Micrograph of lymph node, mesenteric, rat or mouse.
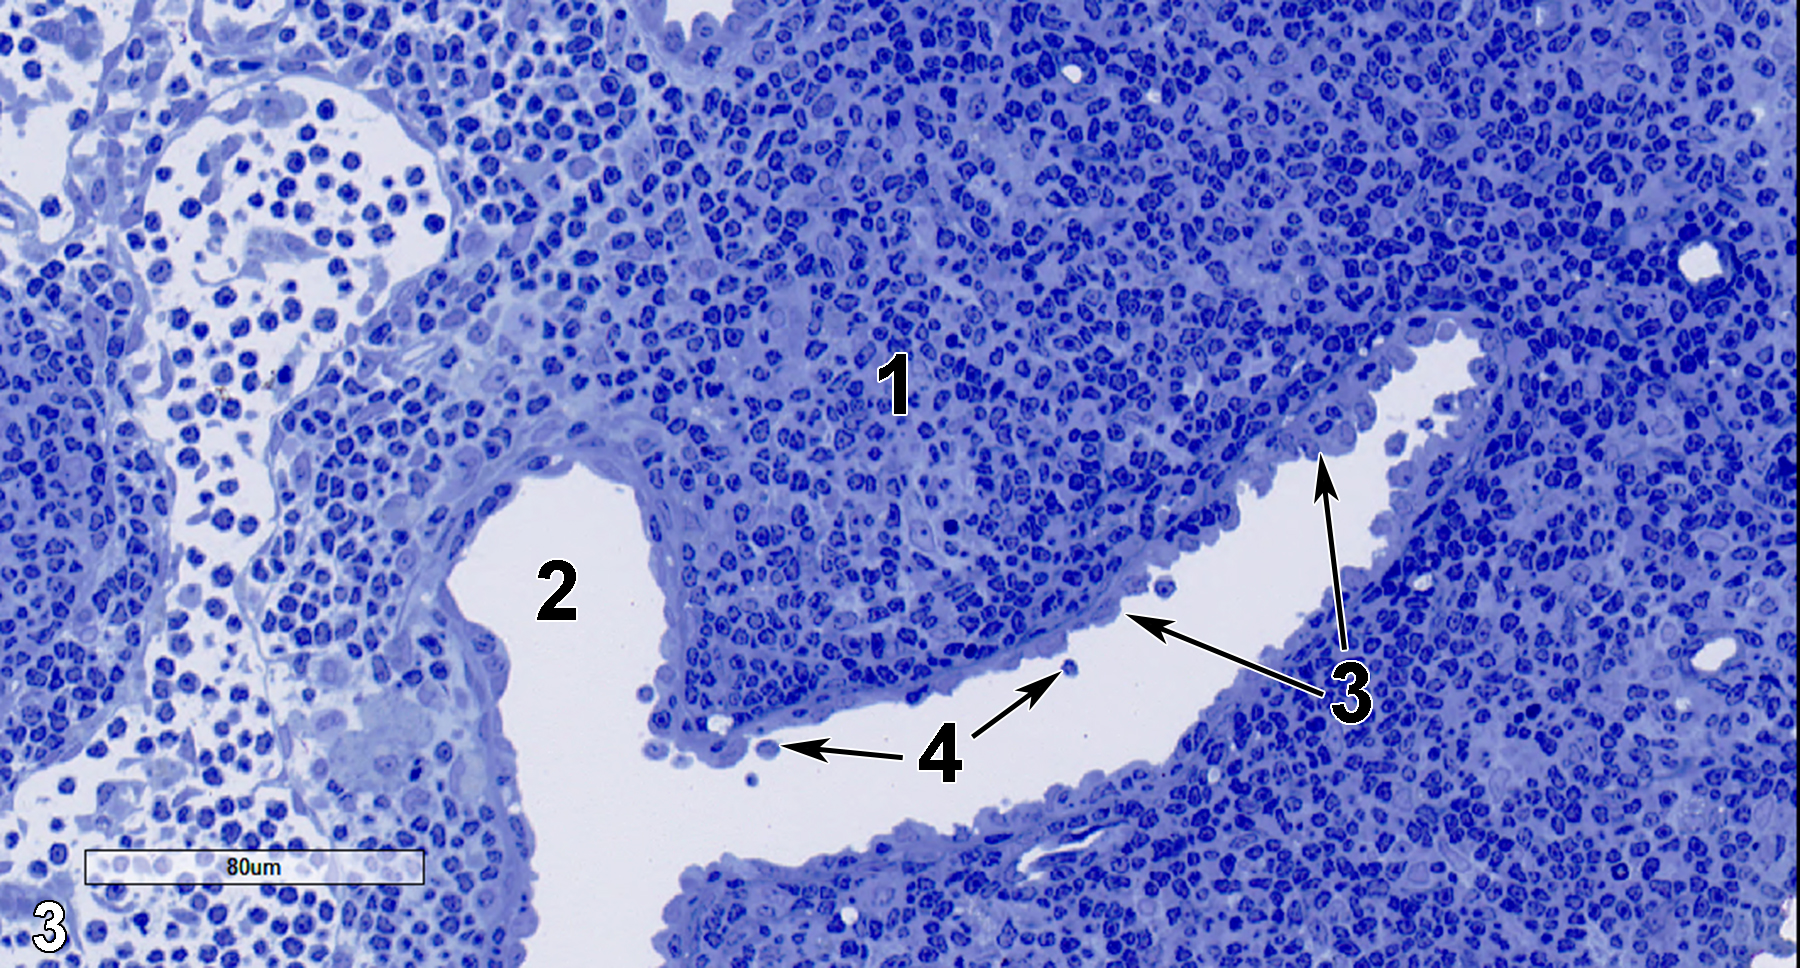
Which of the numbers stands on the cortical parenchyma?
1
